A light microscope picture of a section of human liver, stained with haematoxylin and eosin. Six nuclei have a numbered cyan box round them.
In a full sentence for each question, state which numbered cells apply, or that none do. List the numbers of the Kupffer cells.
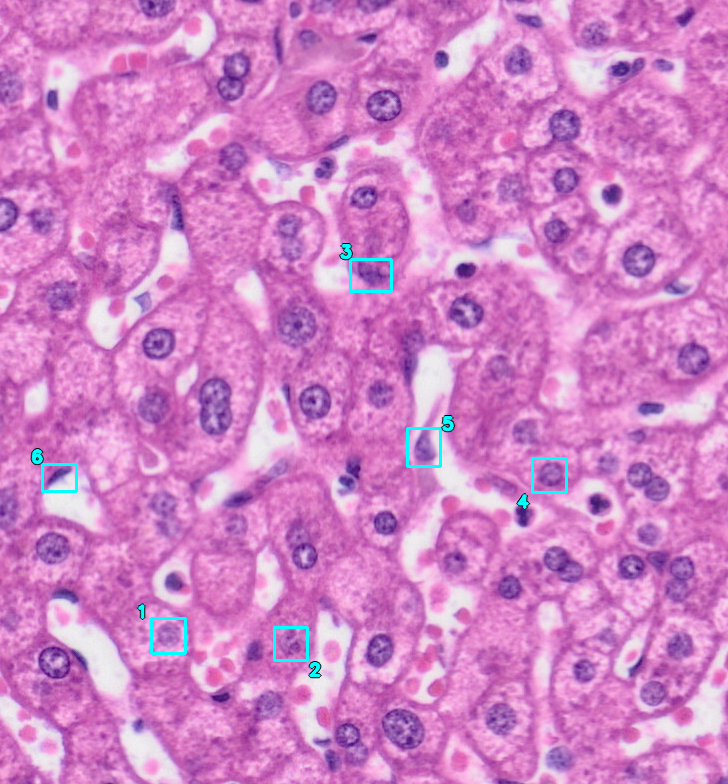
Exactly one numbered cell is a Kupffer cell, and that cell is number 5.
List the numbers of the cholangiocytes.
Among the marked and numbered cells, cholangiocytes do not occur.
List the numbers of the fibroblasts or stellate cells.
Only at number 3 is there a fibroblast or stellate cell among the marked cells.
